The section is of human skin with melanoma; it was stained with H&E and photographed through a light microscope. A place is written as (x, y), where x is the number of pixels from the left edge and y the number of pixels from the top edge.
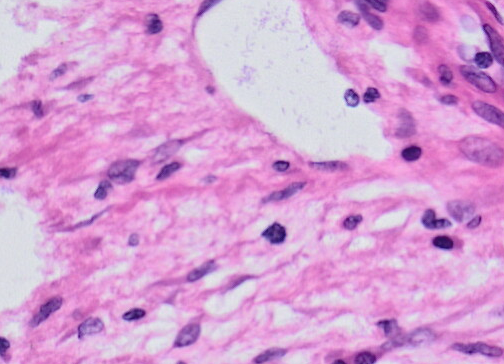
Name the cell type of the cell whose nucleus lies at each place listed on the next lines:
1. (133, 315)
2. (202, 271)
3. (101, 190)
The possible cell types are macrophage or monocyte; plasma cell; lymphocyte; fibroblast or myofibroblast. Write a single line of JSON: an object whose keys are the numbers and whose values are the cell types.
{"1": "lymphocyte", "2": "fibroblast or myofibroblast", "3": "lymphocyte"}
